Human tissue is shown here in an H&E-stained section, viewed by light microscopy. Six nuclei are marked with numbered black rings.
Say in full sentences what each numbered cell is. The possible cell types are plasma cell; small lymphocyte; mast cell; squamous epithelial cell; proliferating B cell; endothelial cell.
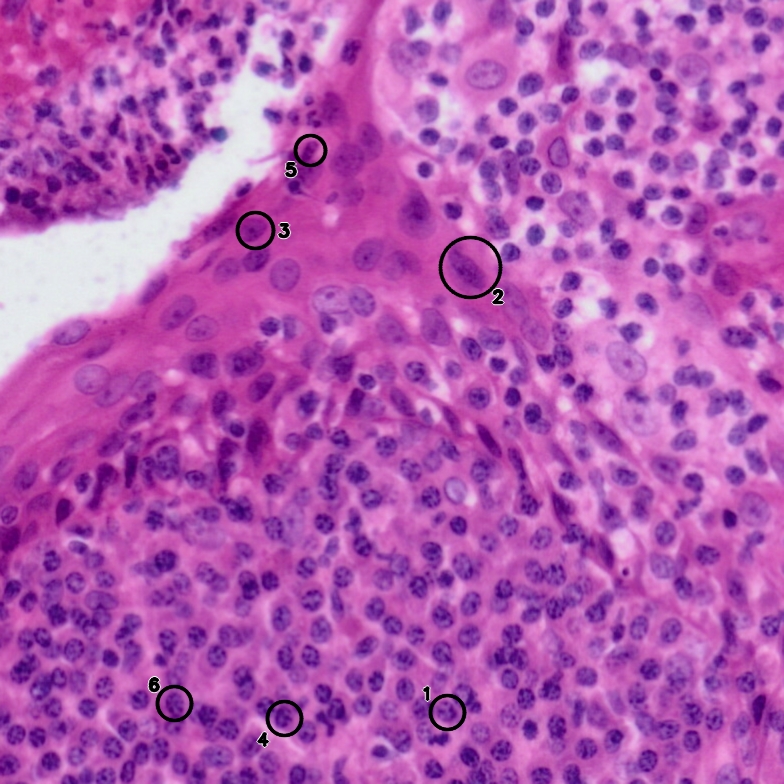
Cells 1, 4 and 6 are plasma cells. Cells 2, 3 and 5 are squamous epithelial cells.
